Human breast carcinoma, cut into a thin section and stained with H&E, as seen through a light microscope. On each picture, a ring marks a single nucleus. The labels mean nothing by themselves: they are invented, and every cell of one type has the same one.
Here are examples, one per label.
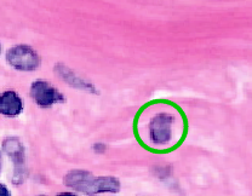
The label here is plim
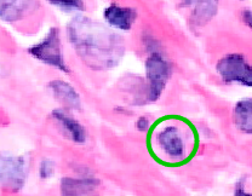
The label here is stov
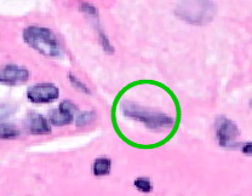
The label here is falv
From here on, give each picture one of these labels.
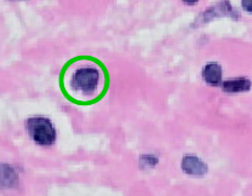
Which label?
plim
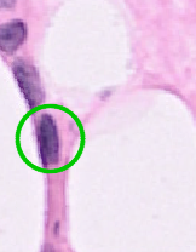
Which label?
stov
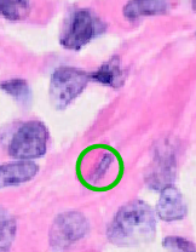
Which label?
stov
